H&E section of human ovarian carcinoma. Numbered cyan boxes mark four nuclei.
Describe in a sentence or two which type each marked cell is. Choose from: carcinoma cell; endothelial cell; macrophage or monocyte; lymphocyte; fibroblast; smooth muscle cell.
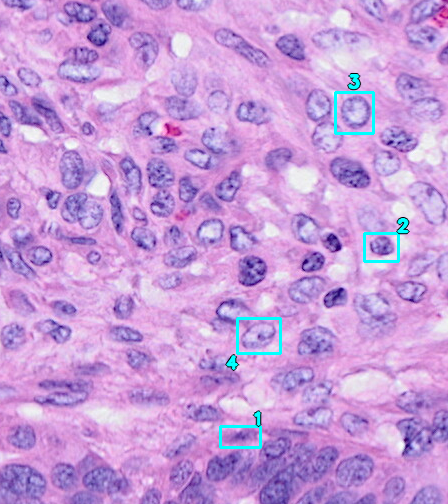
Cell 1 is a fibroblast, cell 2 is a lymphocyte, cell 3 is a fibroblast and cell 4 is a fibroblast.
